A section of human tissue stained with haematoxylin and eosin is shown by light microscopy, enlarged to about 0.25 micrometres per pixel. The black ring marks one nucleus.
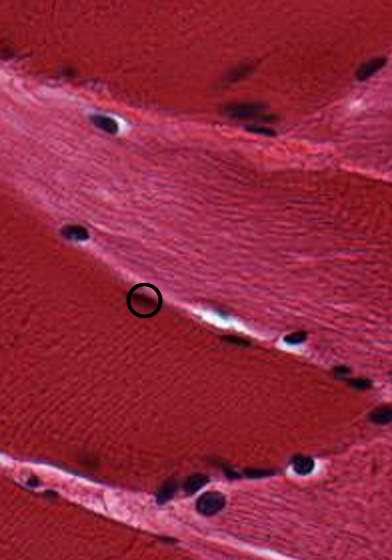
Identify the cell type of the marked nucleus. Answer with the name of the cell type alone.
skeletal muscle fibre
